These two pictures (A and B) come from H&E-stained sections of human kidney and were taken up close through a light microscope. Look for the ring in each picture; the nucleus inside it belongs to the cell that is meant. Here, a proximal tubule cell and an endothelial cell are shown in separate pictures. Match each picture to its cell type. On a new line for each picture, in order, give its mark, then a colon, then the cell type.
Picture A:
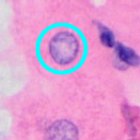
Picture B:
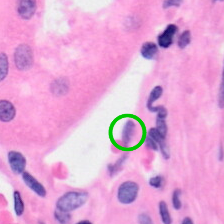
A: proximal tubule cell
B: endothelial cell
